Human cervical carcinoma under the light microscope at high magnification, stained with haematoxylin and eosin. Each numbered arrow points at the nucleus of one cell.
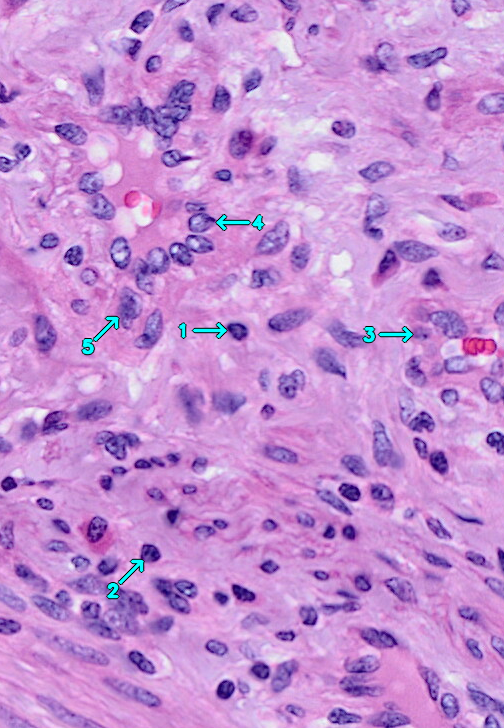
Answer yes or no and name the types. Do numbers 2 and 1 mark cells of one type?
Yes, note that cells 2 and 1 are both lymphocytes.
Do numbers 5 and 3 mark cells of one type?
Yes, as for cells 5 and 3, both are endothelial cells.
